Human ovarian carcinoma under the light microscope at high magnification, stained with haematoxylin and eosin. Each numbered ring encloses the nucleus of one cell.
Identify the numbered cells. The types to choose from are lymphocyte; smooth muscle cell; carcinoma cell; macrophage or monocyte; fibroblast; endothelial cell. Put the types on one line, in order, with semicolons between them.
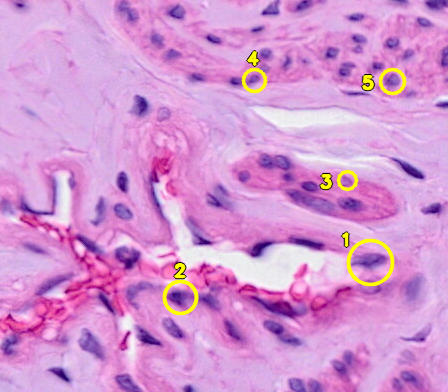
endothelial cell; endothelial cell; smooth muscle cell; smooth muscle cell; smooth muscle cell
